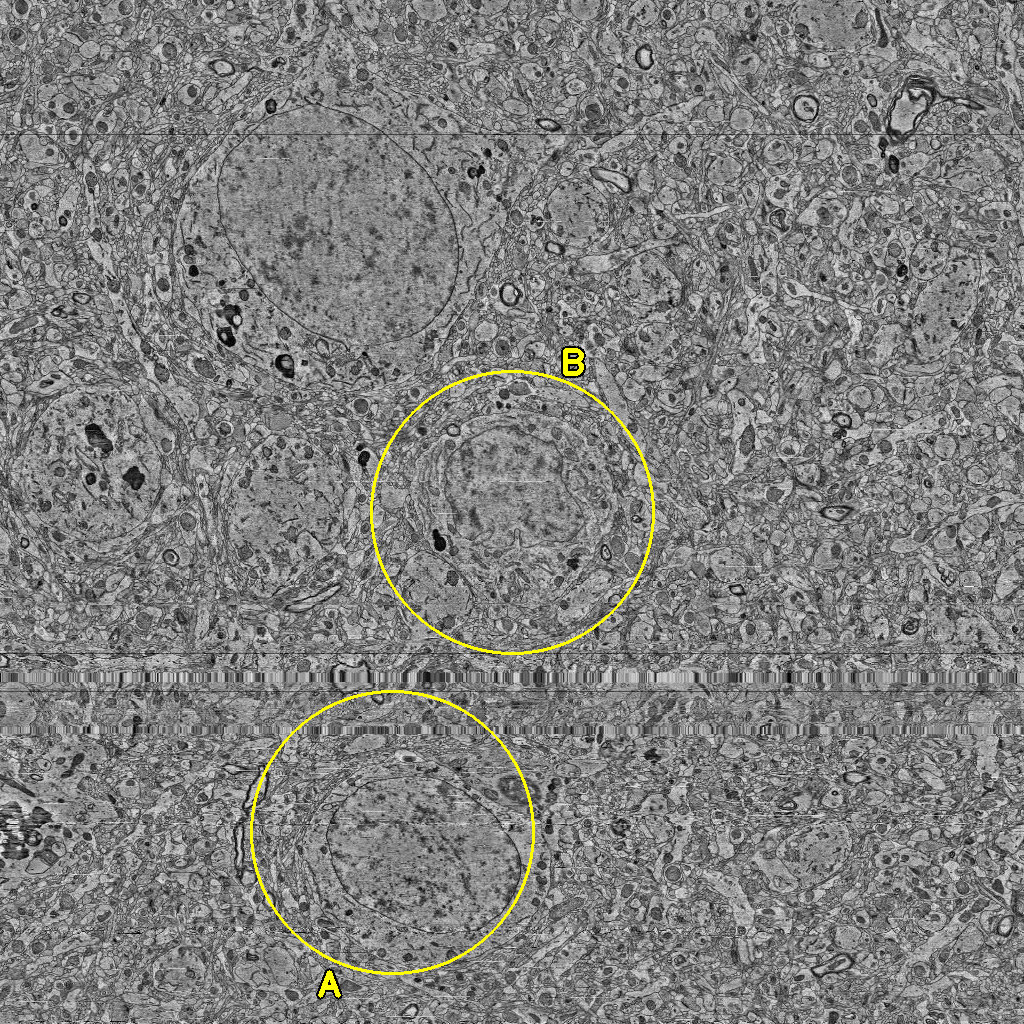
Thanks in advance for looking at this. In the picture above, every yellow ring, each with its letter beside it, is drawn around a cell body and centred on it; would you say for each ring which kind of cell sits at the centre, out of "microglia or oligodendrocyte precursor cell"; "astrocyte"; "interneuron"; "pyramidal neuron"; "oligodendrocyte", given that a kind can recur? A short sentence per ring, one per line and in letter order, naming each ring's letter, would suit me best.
The cell body in ring A belongs to a pyramidal neuron.
The cell body in ring B belongs to an interneuron.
